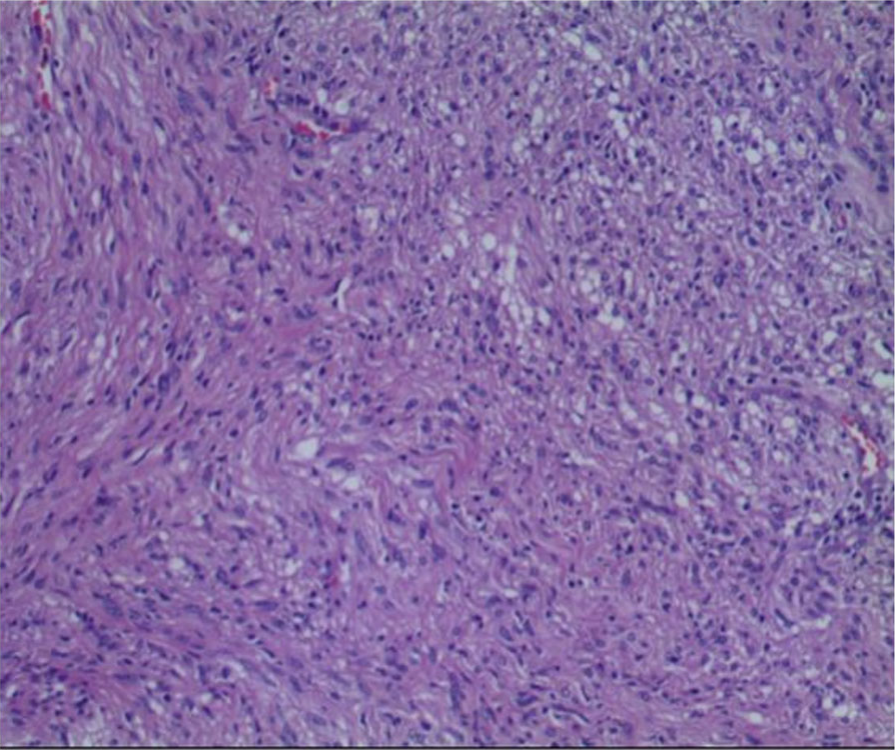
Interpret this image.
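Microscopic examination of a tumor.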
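The cells run in sweeping bundles and streams that curve across the field, most clearly on the left and lower parts. Toward the upper right the tissue is looser, with many small clear vacuoles and more rounded nuclei. A few small thin-walled vessels with red blood cells are scattered through the tissue.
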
